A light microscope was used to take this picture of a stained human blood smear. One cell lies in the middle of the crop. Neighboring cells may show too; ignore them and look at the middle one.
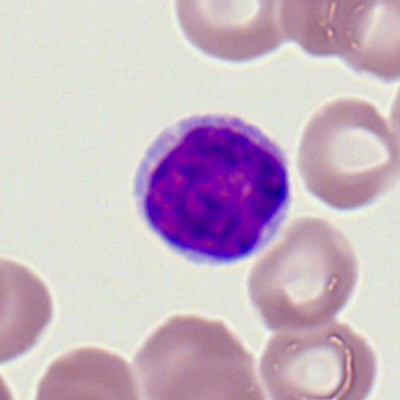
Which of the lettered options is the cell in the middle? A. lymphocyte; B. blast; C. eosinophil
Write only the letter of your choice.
A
